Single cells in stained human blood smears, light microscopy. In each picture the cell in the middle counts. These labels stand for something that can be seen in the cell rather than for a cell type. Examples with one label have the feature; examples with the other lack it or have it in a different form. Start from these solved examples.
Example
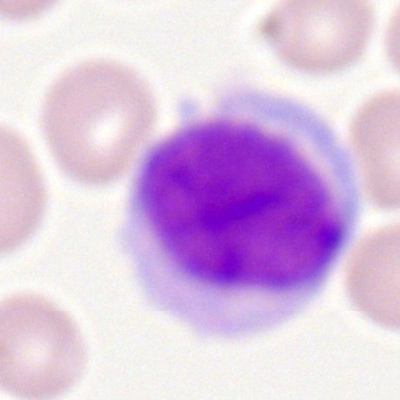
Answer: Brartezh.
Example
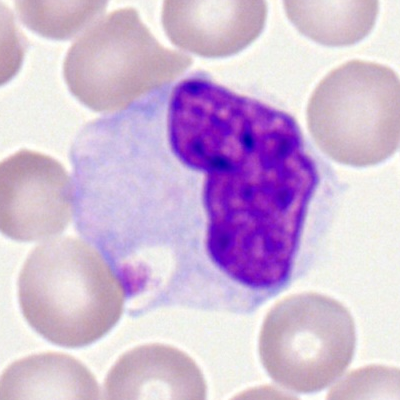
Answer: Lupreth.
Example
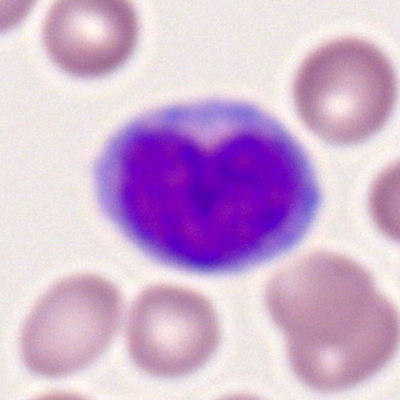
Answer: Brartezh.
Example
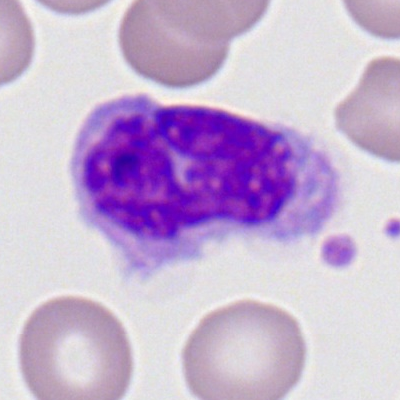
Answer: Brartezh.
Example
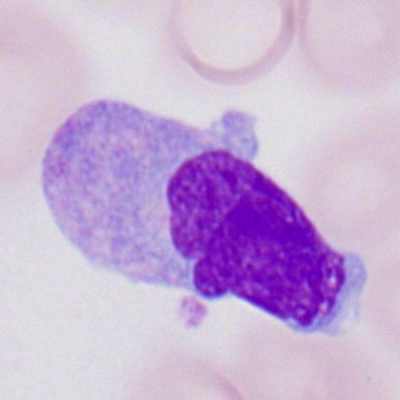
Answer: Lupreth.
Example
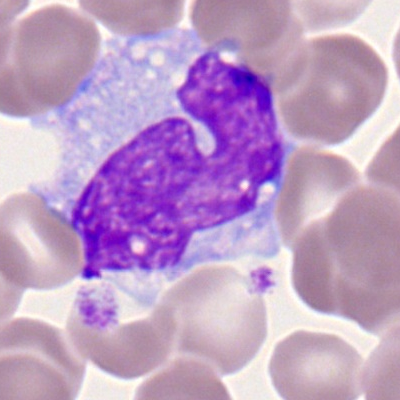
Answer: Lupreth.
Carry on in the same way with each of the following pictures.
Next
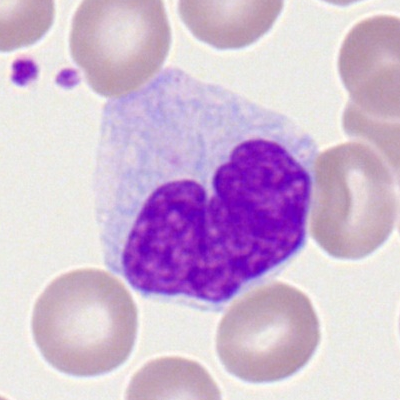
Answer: Lupreth.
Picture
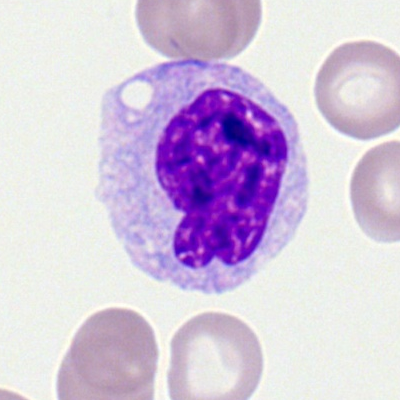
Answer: Lupreth.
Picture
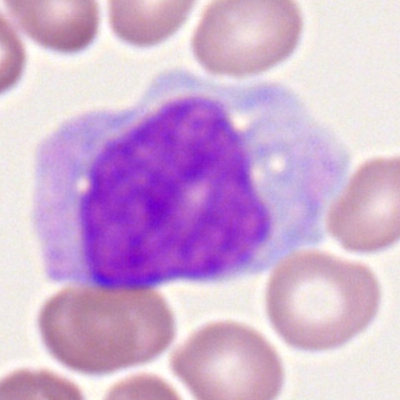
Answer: Lupreth.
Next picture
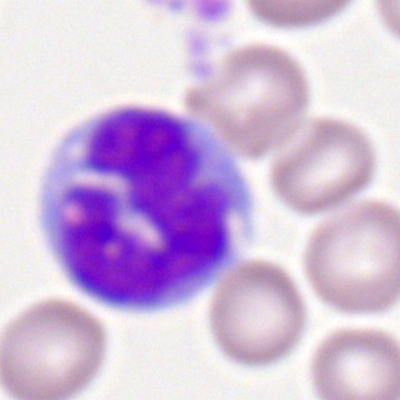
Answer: Brartezh.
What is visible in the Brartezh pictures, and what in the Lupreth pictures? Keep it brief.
In Brartezh: scant cytoplasm. In Lupreth: abundant cytoplasm.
